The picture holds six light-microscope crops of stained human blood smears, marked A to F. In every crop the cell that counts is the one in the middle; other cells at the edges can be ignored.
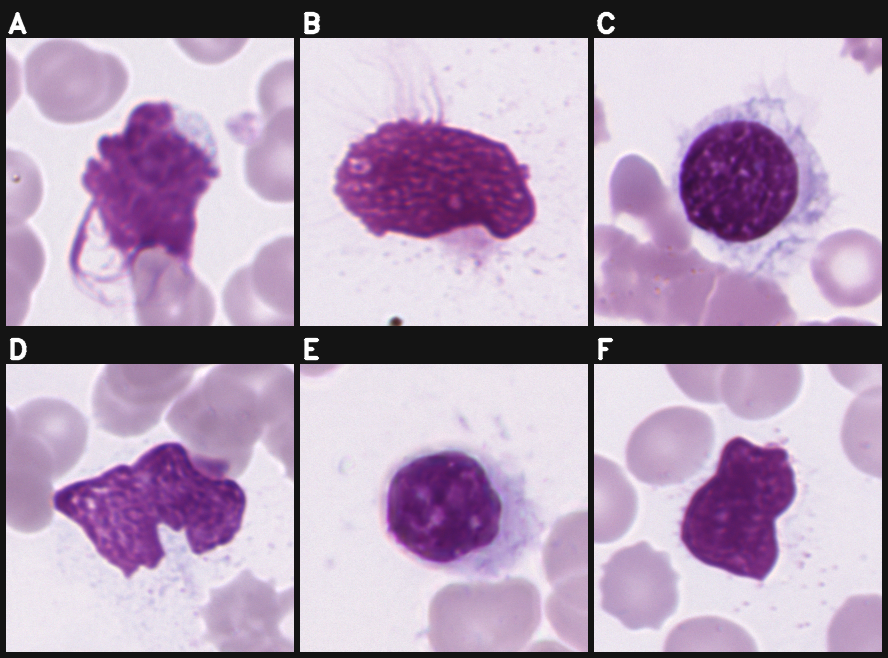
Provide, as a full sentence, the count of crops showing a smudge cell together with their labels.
Exactly four of the crops show smudge cells: A, B, D and F.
